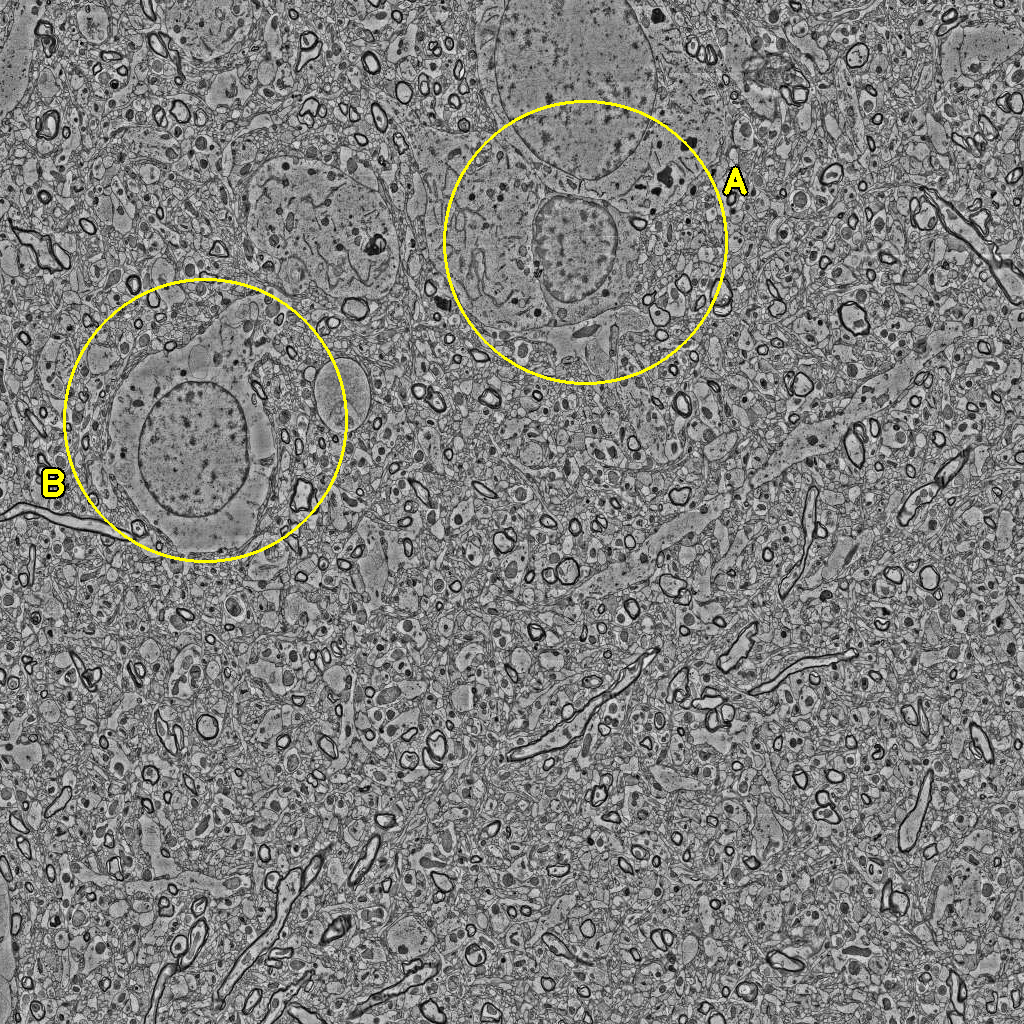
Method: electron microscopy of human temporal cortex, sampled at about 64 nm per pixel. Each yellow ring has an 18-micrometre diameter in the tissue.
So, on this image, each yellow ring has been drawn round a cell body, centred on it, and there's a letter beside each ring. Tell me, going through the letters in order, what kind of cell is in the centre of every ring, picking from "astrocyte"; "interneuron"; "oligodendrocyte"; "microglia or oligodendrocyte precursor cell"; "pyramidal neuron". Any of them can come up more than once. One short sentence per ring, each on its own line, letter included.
Ring A has been drawn round an oligodendrocyte.
Ring B has been drawn round an astrocyte.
